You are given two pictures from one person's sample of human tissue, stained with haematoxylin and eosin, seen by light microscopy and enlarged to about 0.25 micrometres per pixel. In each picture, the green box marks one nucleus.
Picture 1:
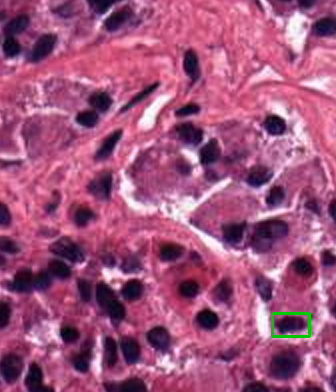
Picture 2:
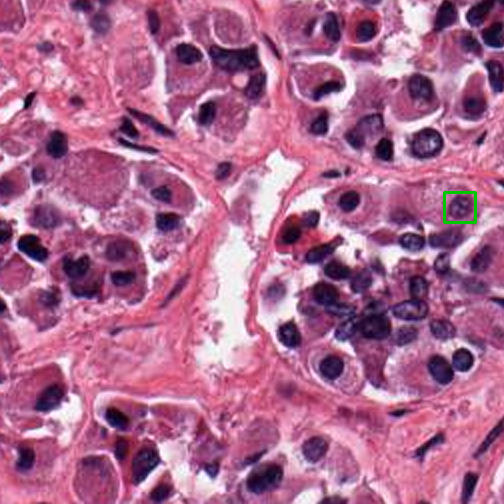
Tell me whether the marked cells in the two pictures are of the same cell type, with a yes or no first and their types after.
Yes, both are anterior pituitary cells.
